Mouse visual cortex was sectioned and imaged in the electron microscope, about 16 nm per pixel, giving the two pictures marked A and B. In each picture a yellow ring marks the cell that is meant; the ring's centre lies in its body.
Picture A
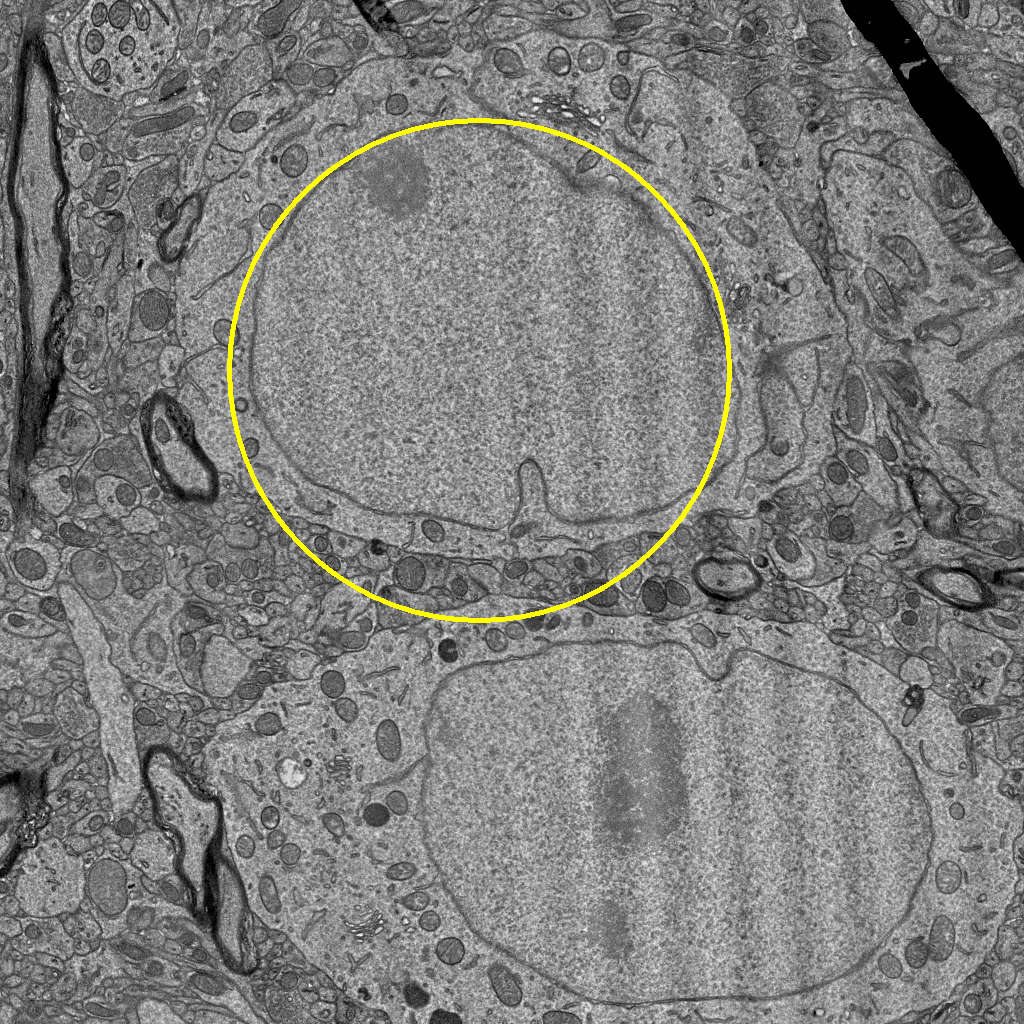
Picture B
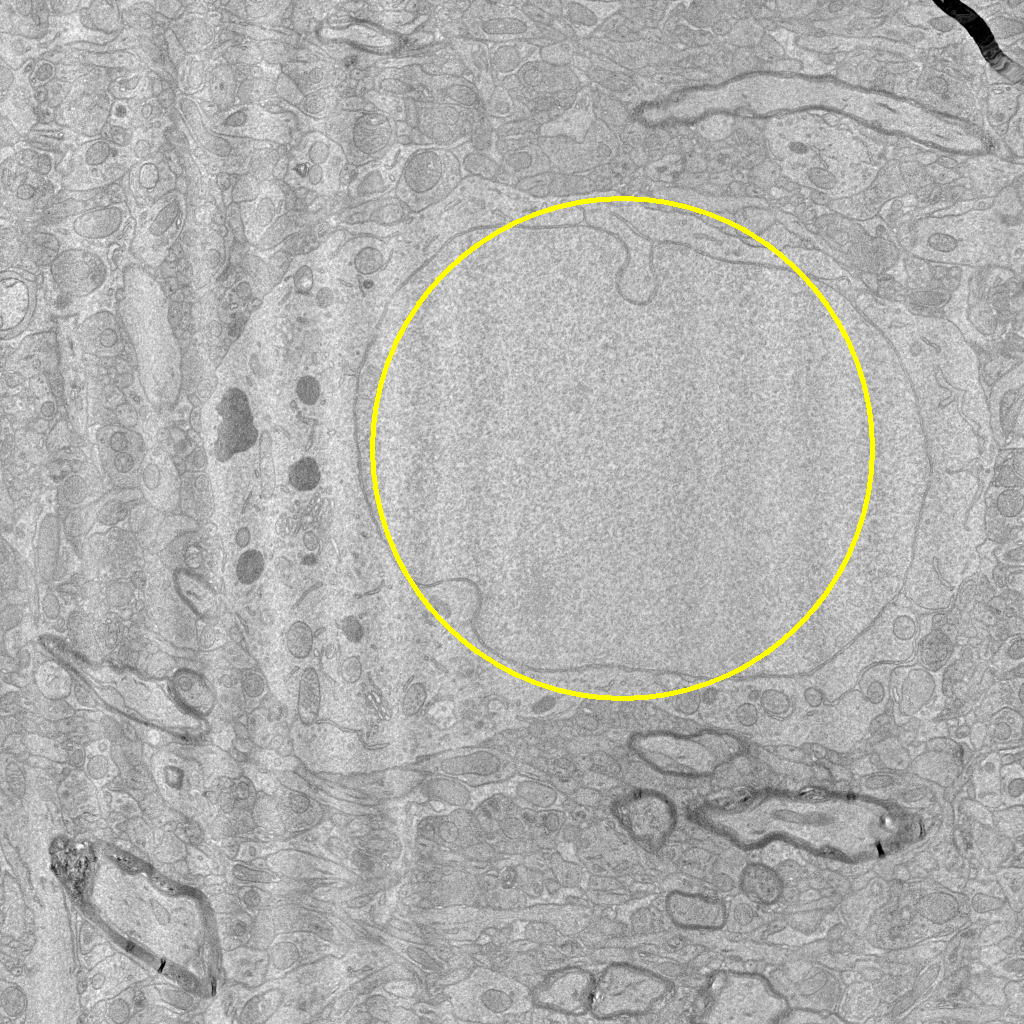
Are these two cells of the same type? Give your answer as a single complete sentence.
Yes, they are the same type: both are excitatory neurons.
